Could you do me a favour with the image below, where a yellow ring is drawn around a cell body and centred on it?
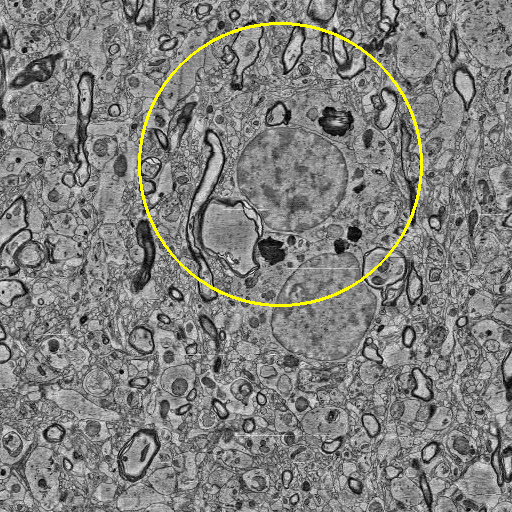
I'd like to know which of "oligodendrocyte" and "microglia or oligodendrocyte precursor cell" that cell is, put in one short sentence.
The cell at the ring's centre is an oligodendrocyte.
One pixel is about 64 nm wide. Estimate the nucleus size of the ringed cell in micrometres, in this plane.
About 8 micrometers across, in this plane.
